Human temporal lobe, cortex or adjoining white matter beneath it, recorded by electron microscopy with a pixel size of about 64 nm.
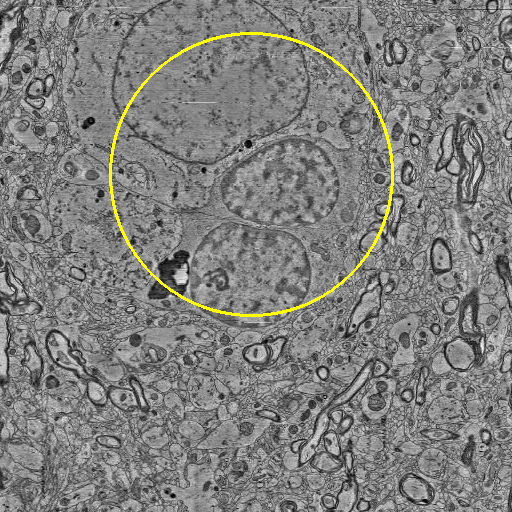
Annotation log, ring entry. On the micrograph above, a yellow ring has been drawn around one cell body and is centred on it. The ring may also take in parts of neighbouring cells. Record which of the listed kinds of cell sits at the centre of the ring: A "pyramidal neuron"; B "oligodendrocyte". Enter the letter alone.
B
